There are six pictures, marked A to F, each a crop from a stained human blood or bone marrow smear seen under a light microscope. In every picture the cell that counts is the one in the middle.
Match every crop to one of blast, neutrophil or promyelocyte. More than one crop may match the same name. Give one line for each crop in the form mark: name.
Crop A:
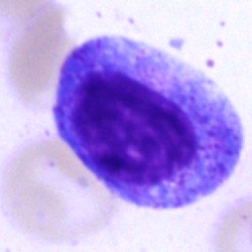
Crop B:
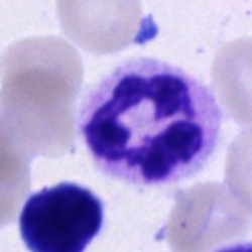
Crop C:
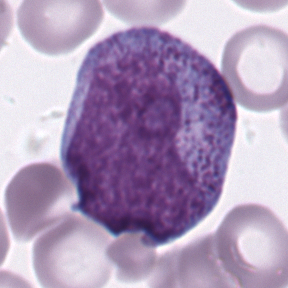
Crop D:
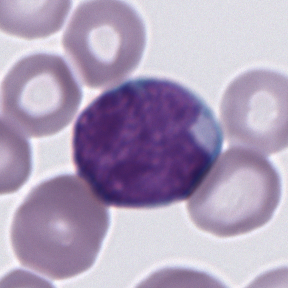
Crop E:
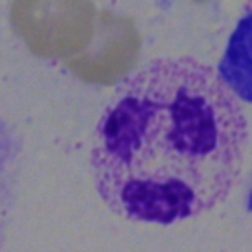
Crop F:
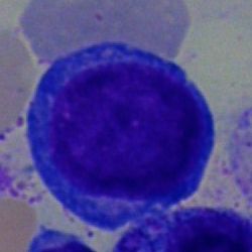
A: promyelocyte
B: neutrophil
C: promyelocyte
D: blast
E: neutrophil
F: blast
